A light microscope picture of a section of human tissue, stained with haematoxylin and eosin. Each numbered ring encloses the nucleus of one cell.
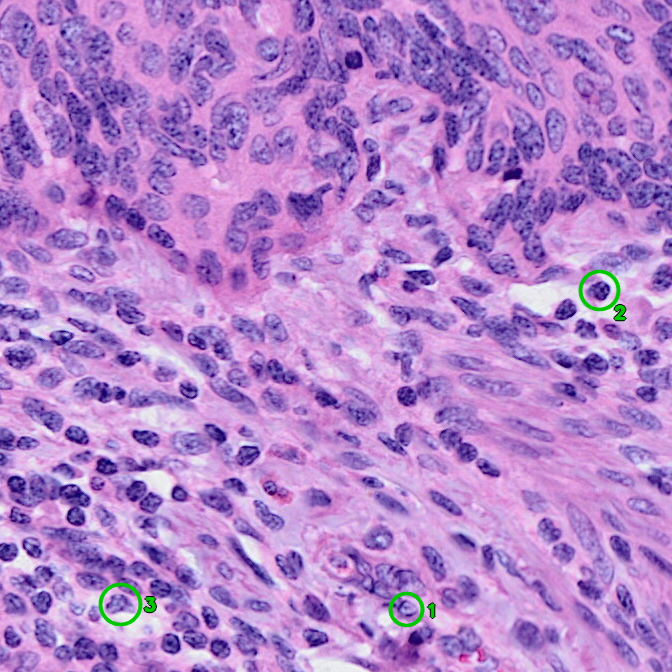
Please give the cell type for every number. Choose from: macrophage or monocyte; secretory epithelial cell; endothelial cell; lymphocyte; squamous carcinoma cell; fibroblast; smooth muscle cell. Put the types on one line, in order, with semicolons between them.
endothelial cell; lymphocyte; lymphocyte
